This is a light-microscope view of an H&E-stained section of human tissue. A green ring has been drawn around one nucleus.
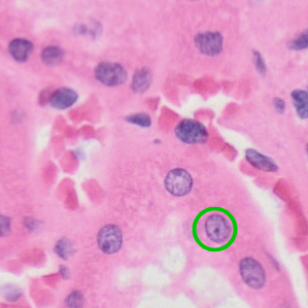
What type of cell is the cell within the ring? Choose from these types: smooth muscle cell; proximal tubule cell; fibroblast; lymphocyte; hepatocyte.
proximal tubule cell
